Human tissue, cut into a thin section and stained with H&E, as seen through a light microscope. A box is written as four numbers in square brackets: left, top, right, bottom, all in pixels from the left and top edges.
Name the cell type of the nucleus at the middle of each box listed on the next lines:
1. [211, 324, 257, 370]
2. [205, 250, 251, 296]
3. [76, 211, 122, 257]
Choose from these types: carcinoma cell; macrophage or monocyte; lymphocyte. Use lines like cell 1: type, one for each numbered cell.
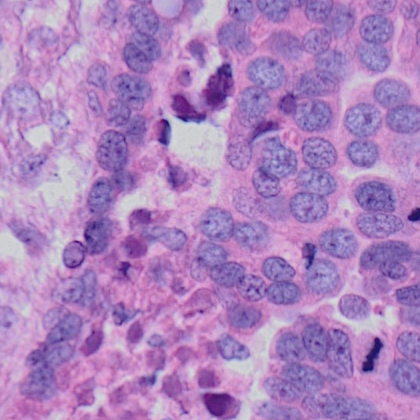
cell 1: macrophage or monocyte
cell 2: carcinoma cell
cell 3: carcinoma cell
